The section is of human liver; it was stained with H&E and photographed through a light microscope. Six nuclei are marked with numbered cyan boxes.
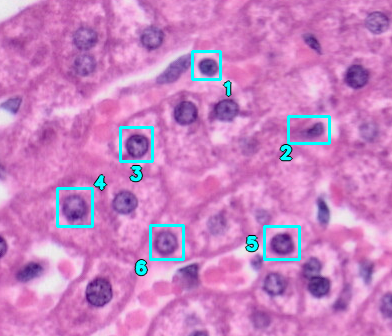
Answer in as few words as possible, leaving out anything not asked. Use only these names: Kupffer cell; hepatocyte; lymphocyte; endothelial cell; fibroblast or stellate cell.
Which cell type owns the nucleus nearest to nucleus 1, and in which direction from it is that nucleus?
a Kupffer cell to the left of nucleus 1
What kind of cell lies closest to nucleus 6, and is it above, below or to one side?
an endothelial cell below and to the right of nucleus 6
